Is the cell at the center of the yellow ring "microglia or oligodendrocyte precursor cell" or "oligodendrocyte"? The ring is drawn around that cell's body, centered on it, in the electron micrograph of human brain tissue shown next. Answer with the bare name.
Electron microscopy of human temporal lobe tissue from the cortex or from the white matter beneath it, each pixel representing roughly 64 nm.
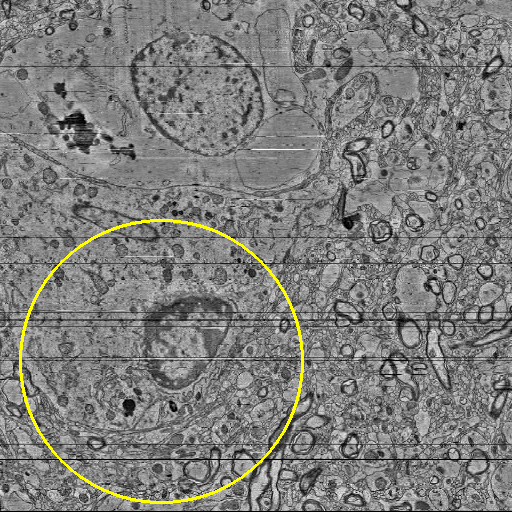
microglia or oligodendrocyte precursor cell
